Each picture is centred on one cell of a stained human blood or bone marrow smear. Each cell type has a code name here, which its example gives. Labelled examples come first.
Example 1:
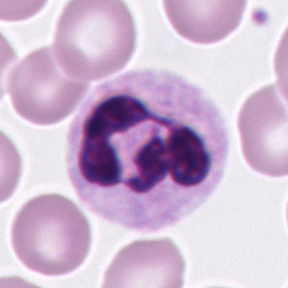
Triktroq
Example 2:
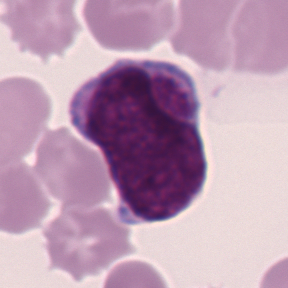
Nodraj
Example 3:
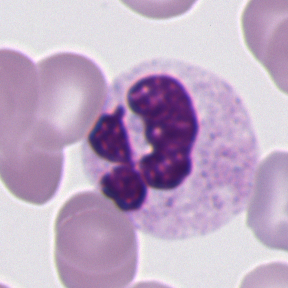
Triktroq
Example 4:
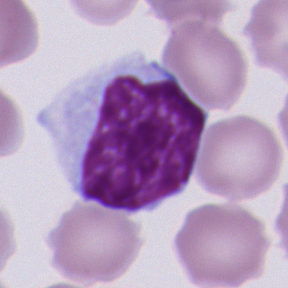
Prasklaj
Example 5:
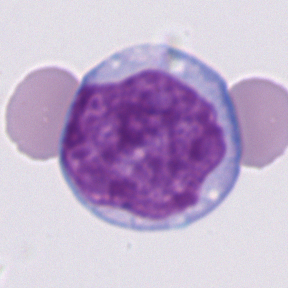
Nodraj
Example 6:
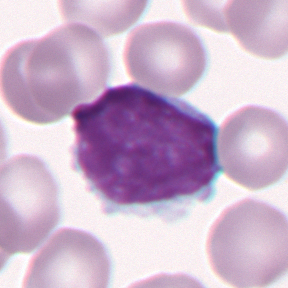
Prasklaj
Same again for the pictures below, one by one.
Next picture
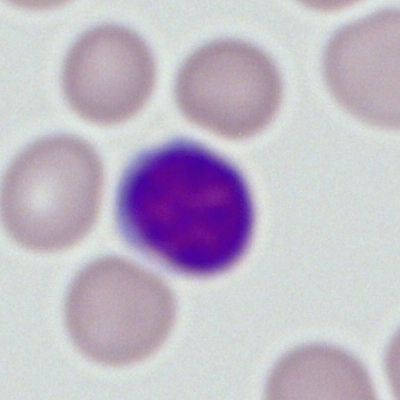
Prasklaj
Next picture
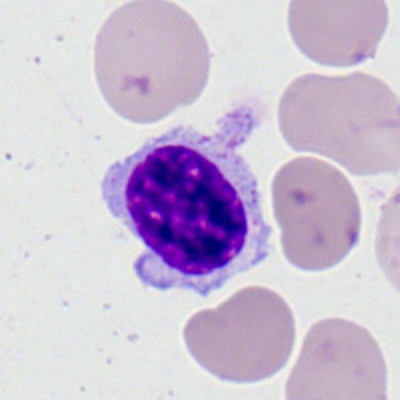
Prasklaj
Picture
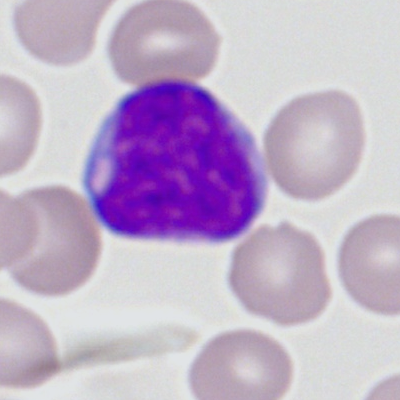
Nodraj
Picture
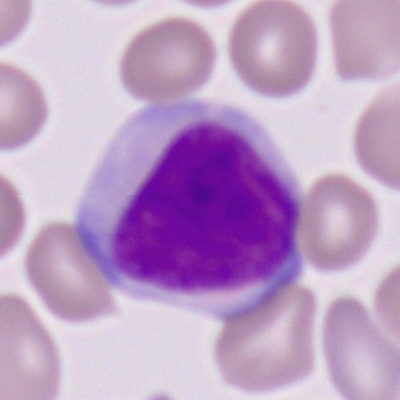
Nodraj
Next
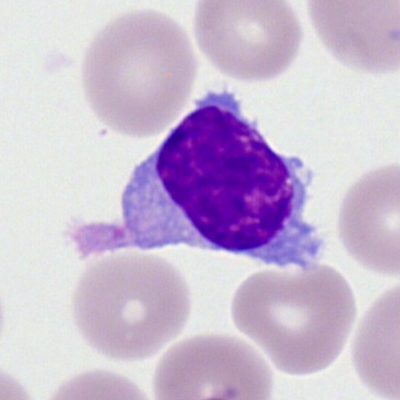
Prasklaj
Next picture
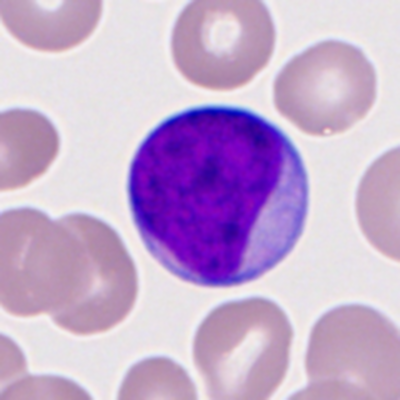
Nodraj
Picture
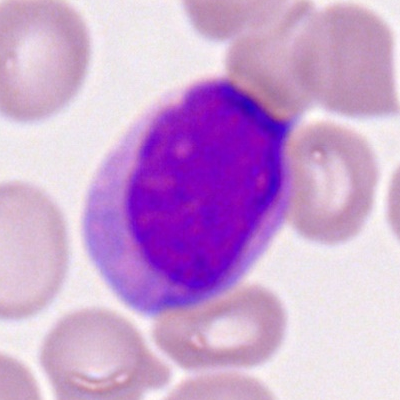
Nodraj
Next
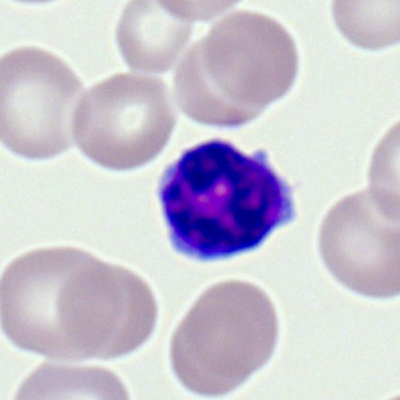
Prasklaj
